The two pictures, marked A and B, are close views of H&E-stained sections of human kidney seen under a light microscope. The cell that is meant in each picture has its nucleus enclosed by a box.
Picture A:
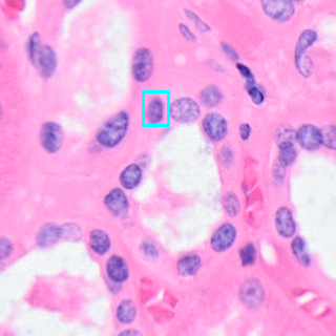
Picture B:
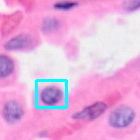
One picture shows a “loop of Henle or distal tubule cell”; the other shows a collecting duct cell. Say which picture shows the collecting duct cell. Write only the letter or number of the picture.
A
